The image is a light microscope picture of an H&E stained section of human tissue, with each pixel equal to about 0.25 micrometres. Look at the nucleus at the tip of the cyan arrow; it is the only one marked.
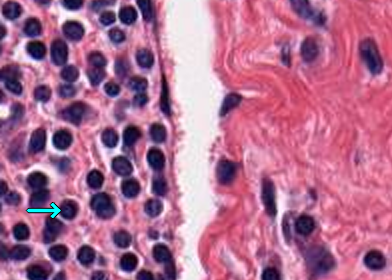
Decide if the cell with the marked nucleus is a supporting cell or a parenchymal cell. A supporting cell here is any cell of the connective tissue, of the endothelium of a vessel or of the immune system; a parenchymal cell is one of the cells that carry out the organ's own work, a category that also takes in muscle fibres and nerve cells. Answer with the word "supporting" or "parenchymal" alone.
supporting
